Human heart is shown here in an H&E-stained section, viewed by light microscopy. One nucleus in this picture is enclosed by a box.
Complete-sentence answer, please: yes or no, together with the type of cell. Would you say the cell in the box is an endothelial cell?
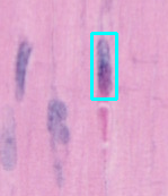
Yes, put very simply, the cell in the box is an endothelial cell.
